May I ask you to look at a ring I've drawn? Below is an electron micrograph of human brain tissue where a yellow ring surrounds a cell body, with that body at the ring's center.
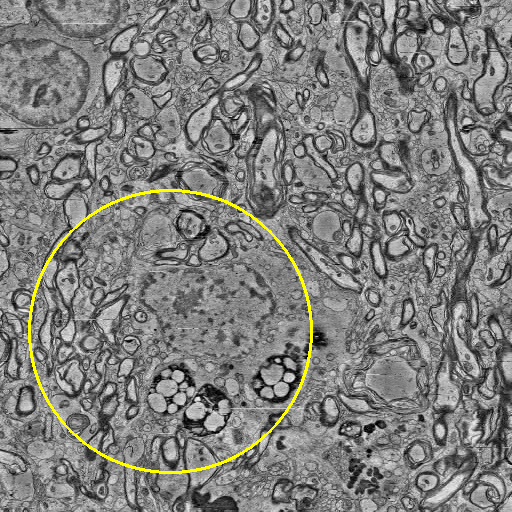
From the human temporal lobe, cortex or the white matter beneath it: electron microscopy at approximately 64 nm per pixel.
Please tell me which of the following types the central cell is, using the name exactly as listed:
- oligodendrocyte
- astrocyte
astrocyte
